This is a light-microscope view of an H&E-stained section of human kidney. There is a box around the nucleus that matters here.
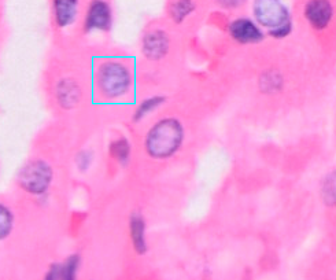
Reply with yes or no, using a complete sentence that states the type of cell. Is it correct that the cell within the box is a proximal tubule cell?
No, the cell within the box is scored as a loop of Henle or distal tubule cell and not as a proximal tubule cell.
